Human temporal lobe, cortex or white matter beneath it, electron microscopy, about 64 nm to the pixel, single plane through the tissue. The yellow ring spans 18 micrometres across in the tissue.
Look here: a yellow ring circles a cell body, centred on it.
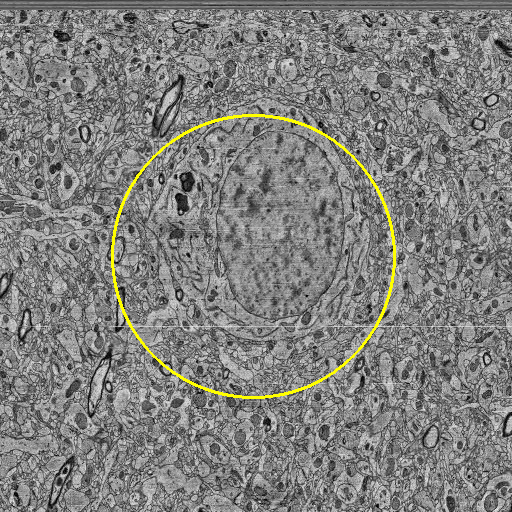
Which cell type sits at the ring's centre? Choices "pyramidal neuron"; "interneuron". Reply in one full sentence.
The cell at the centre of the yellow ring in the picture is an interneuron.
